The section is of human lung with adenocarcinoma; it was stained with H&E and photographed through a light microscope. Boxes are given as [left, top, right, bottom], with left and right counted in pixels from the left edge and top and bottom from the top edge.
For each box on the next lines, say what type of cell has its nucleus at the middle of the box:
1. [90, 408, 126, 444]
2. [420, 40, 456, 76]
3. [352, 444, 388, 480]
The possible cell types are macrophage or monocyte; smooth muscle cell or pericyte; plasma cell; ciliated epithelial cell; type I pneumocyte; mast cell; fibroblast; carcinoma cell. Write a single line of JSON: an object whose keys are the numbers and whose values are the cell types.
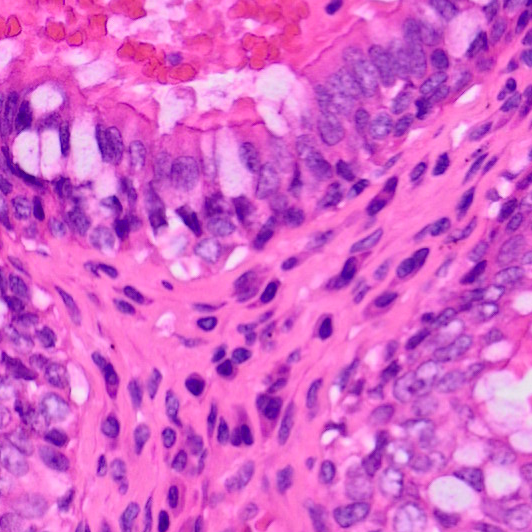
{"1": "plasma cell", "2": "ciliated epithelial cell", "3": "ciliated epithelial cell"}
